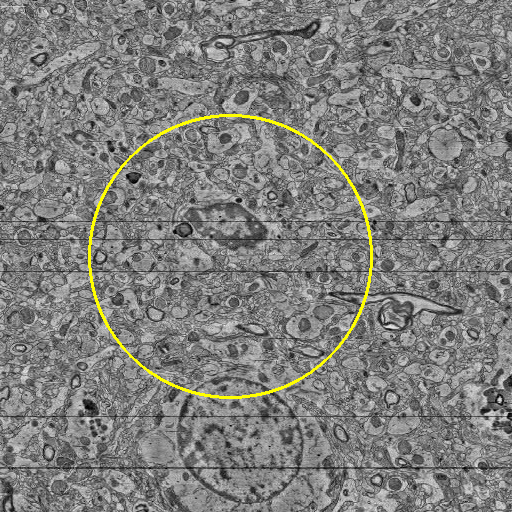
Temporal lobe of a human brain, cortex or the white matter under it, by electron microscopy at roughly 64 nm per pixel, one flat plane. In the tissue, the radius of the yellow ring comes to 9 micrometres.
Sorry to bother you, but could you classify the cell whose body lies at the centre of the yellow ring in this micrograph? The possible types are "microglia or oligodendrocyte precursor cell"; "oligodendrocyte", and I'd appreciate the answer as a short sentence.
The ringed cell body is that of a microglial cell or oligodendrocyte precursor cell.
